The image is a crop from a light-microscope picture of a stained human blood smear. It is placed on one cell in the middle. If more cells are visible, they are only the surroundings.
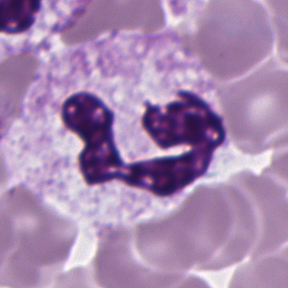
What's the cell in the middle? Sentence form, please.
The middle of this crop holds a segmented neutrophil.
